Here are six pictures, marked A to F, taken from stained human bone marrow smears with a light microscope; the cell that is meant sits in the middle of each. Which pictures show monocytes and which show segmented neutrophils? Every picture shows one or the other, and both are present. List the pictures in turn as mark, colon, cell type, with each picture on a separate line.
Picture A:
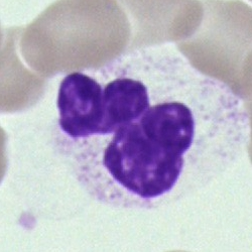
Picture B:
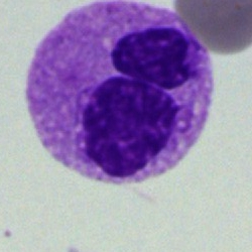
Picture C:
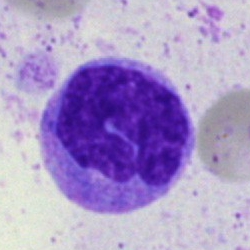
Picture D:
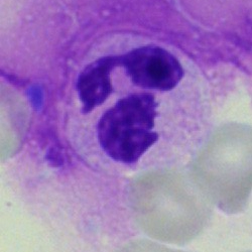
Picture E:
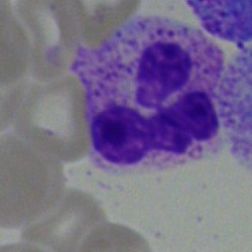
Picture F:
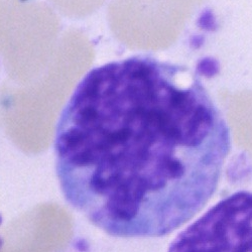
A: segmented neutrophil
B: segmented neutrophil
C: monocyte
D: segmented neutrophil
E: segmented neutrophil
F: monocyte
